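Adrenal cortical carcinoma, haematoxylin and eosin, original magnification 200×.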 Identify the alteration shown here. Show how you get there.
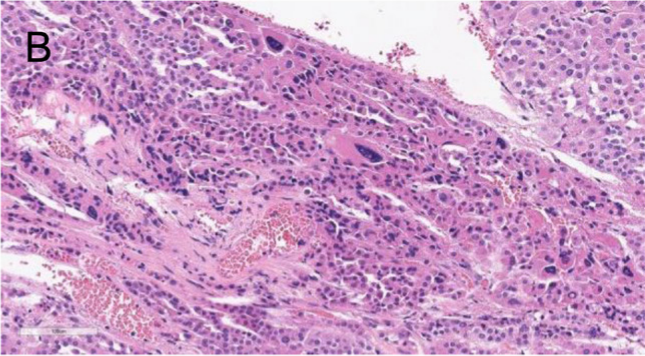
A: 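Prominent nuclear pleomorphism. Nuclei vary markedly in size. A few nuclei are greatly enlarged and dark-staining.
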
